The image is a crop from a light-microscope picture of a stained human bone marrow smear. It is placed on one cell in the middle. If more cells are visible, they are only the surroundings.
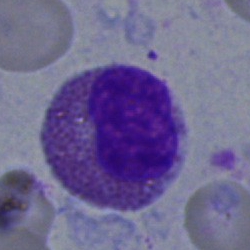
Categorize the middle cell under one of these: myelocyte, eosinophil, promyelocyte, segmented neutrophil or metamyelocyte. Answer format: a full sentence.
The center cell of this crop is an eosinophil.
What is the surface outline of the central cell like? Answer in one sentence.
The border of this cell runs smooth and free of any projections.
